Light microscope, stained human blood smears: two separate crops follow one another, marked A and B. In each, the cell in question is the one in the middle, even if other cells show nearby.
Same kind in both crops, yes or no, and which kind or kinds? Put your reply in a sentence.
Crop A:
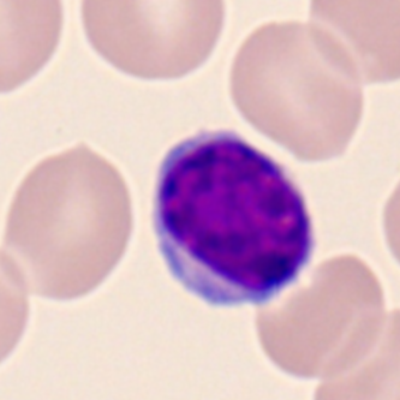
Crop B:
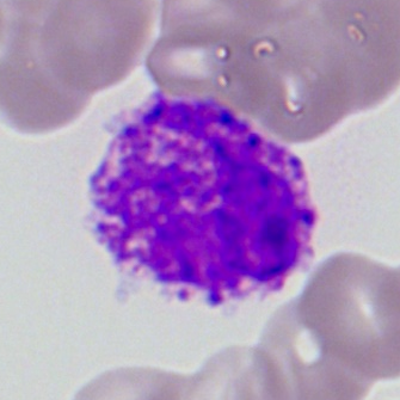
No, in fact crop A shows a lymphocyte, and crop B shows a basophil.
